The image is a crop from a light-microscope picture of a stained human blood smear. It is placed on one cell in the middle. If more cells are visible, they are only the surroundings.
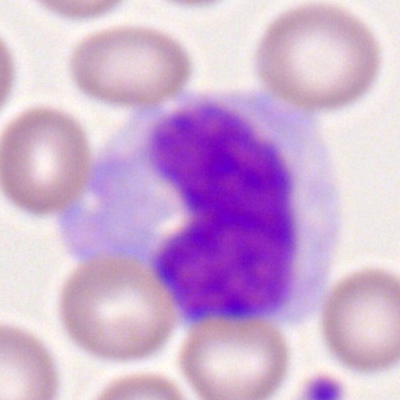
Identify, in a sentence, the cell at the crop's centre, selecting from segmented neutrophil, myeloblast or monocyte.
At the middle of the frame sits a monocyte.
